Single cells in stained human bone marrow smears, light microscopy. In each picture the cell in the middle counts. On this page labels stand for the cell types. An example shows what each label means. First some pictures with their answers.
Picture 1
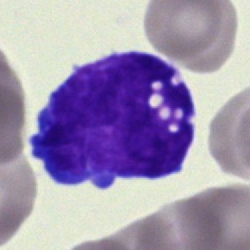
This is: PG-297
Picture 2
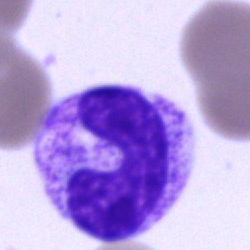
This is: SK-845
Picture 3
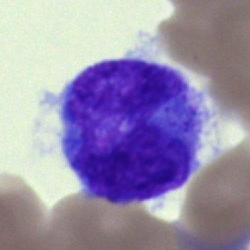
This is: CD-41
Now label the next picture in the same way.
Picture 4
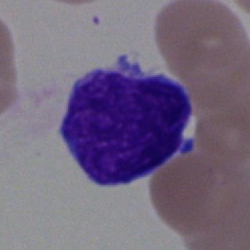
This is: PG-297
